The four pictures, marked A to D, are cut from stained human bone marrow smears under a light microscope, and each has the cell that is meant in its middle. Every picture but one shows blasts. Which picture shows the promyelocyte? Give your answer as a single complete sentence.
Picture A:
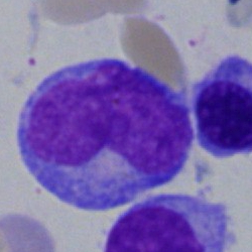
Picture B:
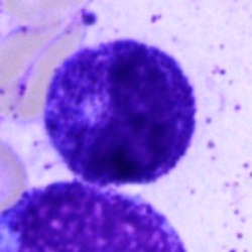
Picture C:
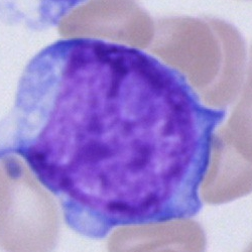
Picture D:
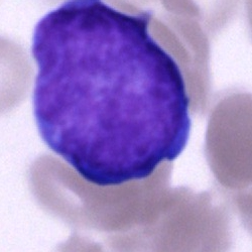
The cell in picture B is the promyelocyte.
